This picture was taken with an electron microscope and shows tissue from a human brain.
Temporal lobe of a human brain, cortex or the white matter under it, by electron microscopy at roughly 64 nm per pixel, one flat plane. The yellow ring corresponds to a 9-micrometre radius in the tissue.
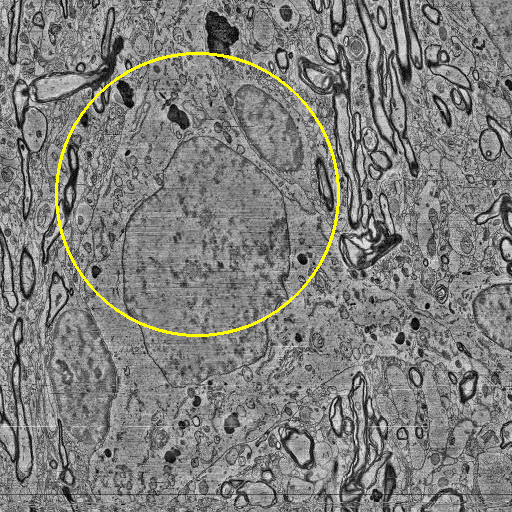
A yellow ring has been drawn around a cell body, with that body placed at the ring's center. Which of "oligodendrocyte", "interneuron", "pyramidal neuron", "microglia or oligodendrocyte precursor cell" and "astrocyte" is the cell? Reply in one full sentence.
In this picture, a pyramidal neuron is the cell at the center of the yellow ring.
